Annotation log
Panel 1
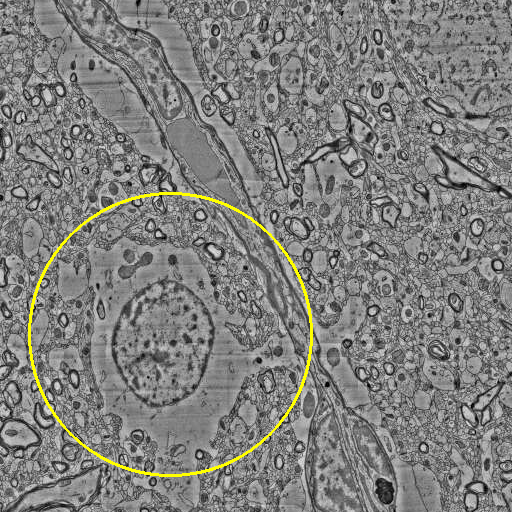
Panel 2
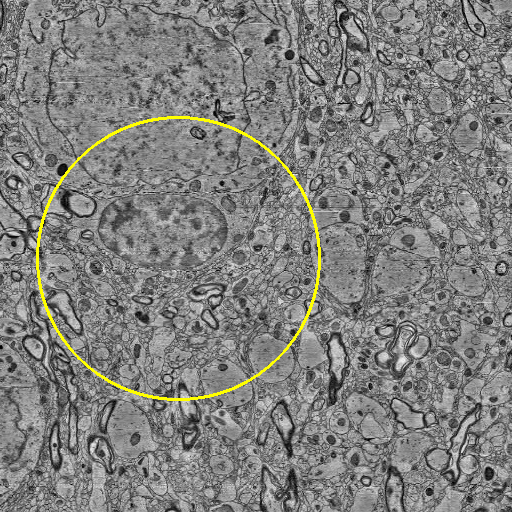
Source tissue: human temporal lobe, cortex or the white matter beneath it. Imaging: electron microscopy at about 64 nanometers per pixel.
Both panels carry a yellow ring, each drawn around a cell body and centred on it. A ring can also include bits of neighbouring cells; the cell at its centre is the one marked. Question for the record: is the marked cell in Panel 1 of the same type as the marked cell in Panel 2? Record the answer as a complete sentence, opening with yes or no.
No, the marked cells in Panel 1 and Panel 2 are of two types.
